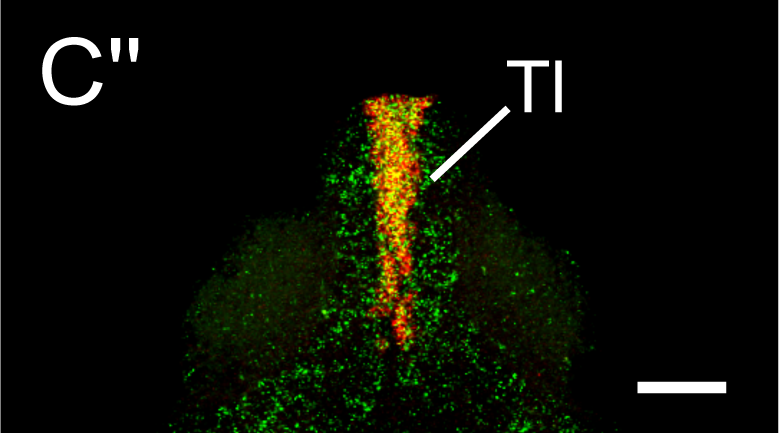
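This dorsal view shows the torus longitudinalis as a narrow stripe running lengthwise along the midline. The stripe is densely packed with small labelled cells in which red and green overlap to give yellow-orange. A wider band of green puncta flanks the stripe on both sides, while the broad paired tissue around it is only faintly labelled.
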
